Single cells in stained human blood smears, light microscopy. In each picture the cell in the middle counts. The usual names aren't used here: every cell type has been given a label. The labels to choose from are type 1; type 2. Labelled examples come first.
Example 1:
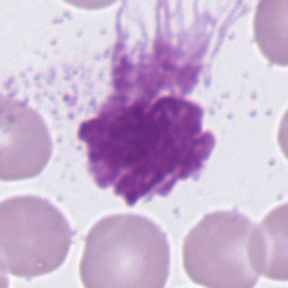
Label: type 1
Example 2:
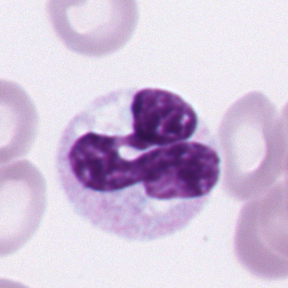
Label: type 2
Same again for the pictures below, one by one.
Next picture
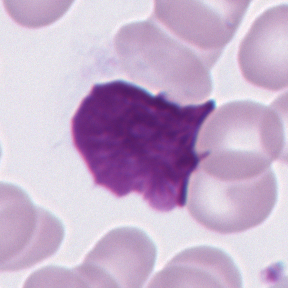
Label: type 1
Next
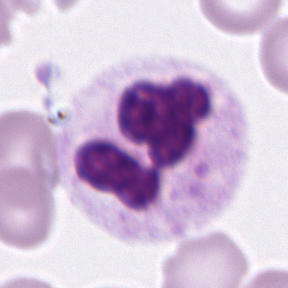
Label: type 2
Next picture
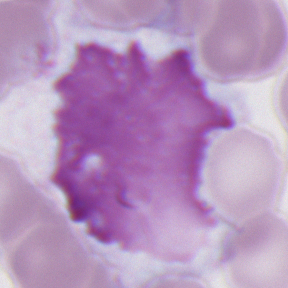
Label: type 1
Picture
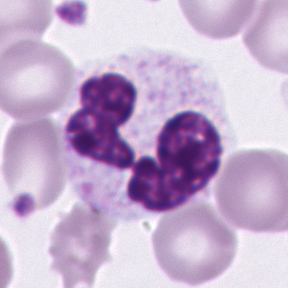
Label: type 2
